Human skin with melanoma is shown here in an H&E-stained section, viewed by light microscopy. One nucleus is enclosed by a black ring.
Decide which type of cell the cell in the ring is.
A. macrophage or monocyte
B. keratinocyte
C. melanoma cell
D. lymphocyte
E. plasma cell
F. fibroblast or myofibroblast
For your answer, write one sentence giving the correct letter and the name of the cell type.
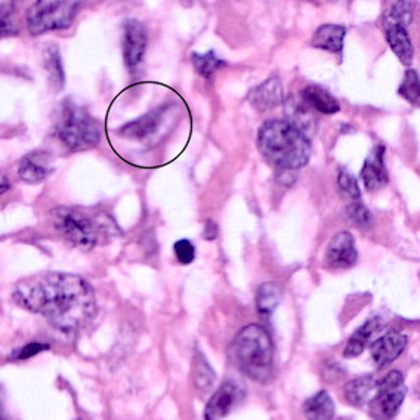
Of the options given, C is right: the cell in the ring is a melanoma cell.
